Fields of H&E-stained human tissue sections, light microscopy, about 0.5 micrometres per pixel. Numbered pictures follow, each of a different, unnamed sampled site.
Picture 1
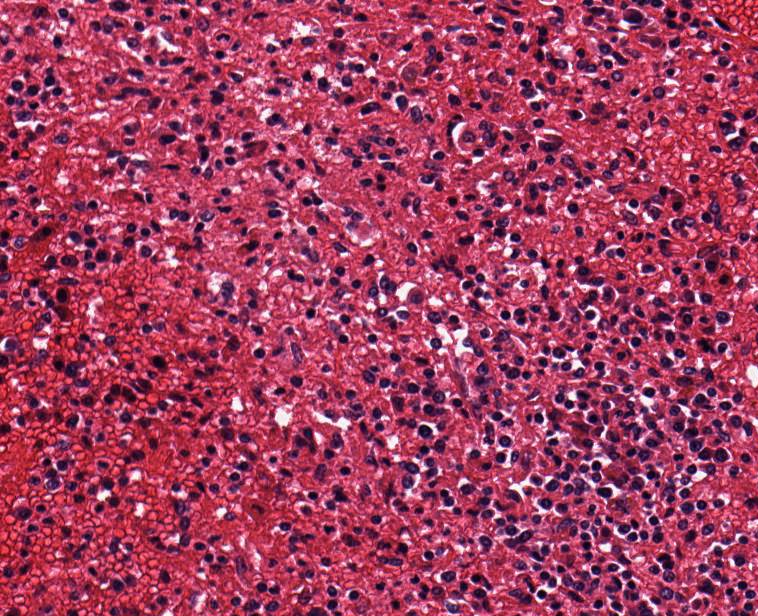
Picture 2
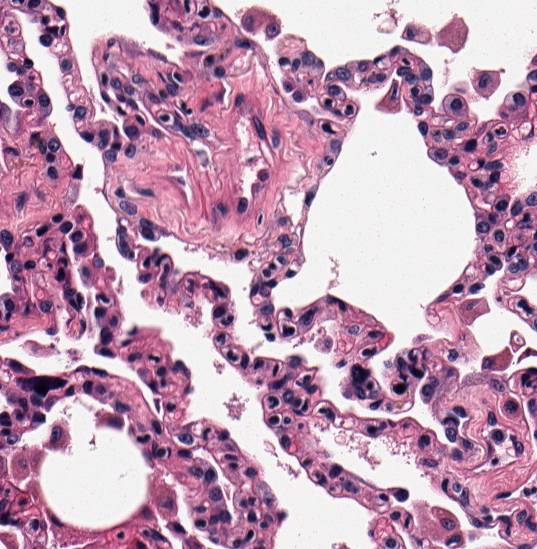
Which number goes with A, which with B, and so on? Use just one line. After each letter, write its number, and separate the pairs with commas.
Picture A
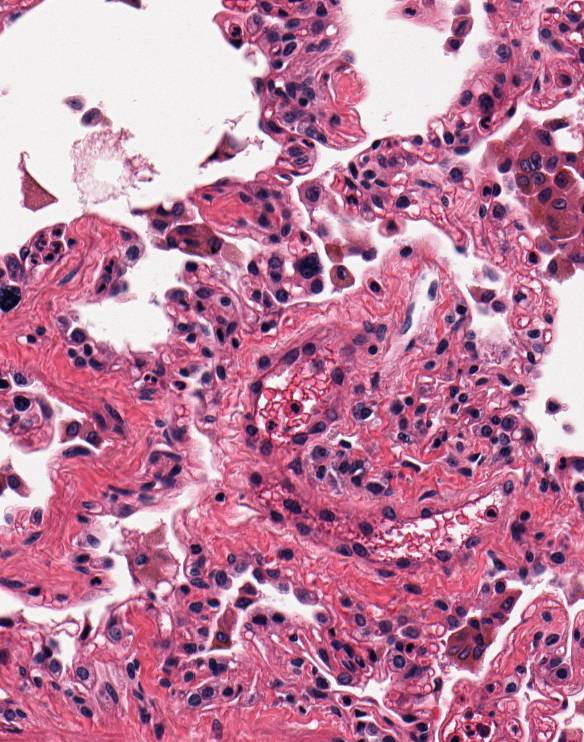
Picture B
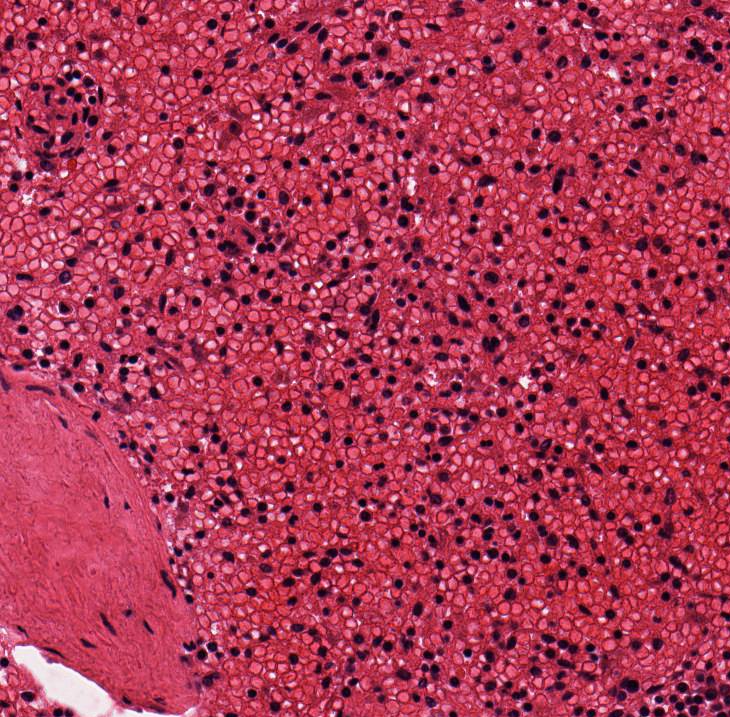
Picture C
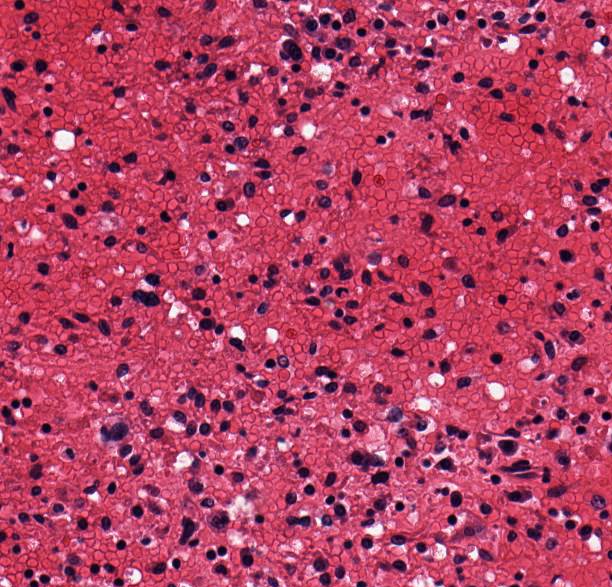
A 2, B 1, C 1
